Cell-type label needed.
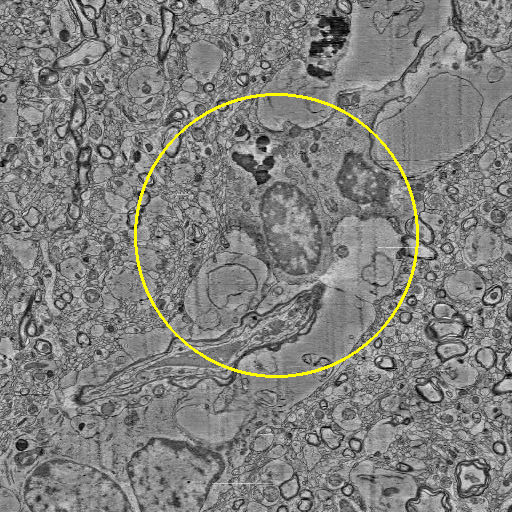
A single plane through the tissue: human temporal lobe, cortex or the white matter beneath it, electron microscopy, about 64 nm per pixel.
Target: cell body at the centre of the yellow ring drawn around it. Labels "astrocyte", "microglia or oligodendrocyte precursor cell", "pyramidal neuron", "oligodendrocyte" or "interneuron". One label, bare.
oligodendrocyte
